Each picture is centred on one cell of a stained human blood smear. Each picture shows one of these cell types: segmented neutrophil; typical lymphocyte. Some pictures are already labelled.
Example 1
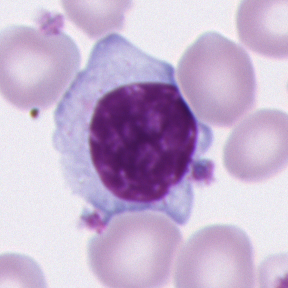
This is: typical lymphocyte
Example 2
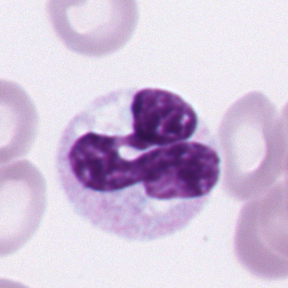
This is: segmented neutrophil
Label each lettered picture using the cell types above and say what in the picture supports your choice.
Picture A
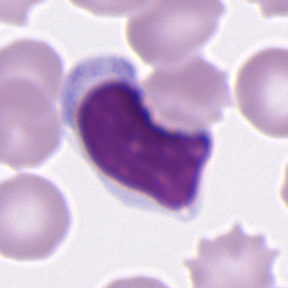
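typical lymphocyte. The nucleus fills most of the cell.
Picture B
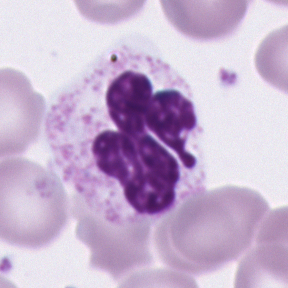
segmented neutrophil. The cytoplasm is abundant and very pale.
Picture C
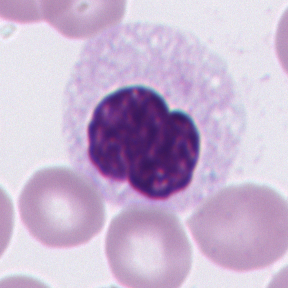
segmented neutrophil. The cytoplasm is abundant, forming a wide zone around the nucleus.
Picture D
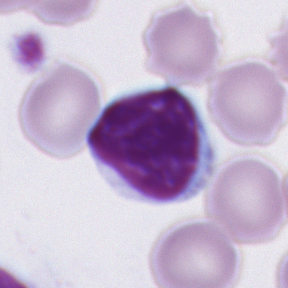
typical lymphocyte. The nucleus fills most of the cell.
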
